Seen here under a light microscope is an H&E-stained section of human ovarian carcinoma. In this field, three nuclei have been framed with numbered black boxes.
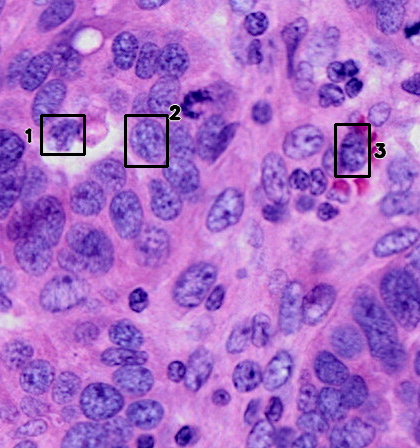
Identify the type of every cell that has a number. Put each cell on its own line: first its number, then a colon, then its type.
1: macrophage or monocyte
2: carcinoma cell
3: endothelial cell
